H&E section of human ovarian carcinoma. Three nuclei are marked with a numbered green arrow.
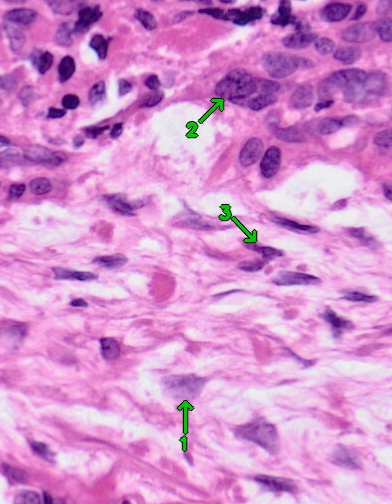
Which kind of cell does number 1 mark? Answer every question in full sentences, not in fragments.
The cell assigned the number 1 is a fibroblast.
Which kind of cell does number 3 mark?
Looking at the numbered marks, cell 3 is a fibroblast.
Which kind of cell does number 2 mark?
Looking at the numbered marks, cell 2 is a carcinoma cell.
